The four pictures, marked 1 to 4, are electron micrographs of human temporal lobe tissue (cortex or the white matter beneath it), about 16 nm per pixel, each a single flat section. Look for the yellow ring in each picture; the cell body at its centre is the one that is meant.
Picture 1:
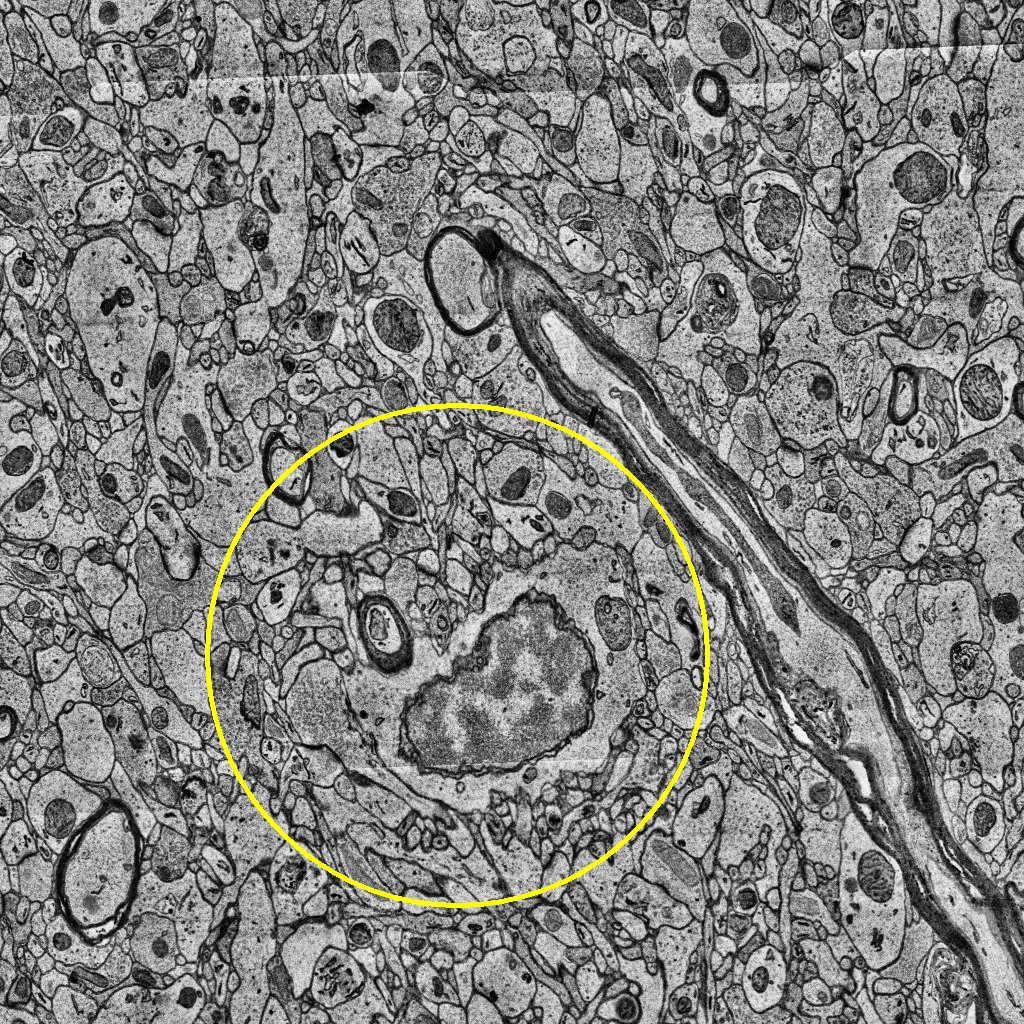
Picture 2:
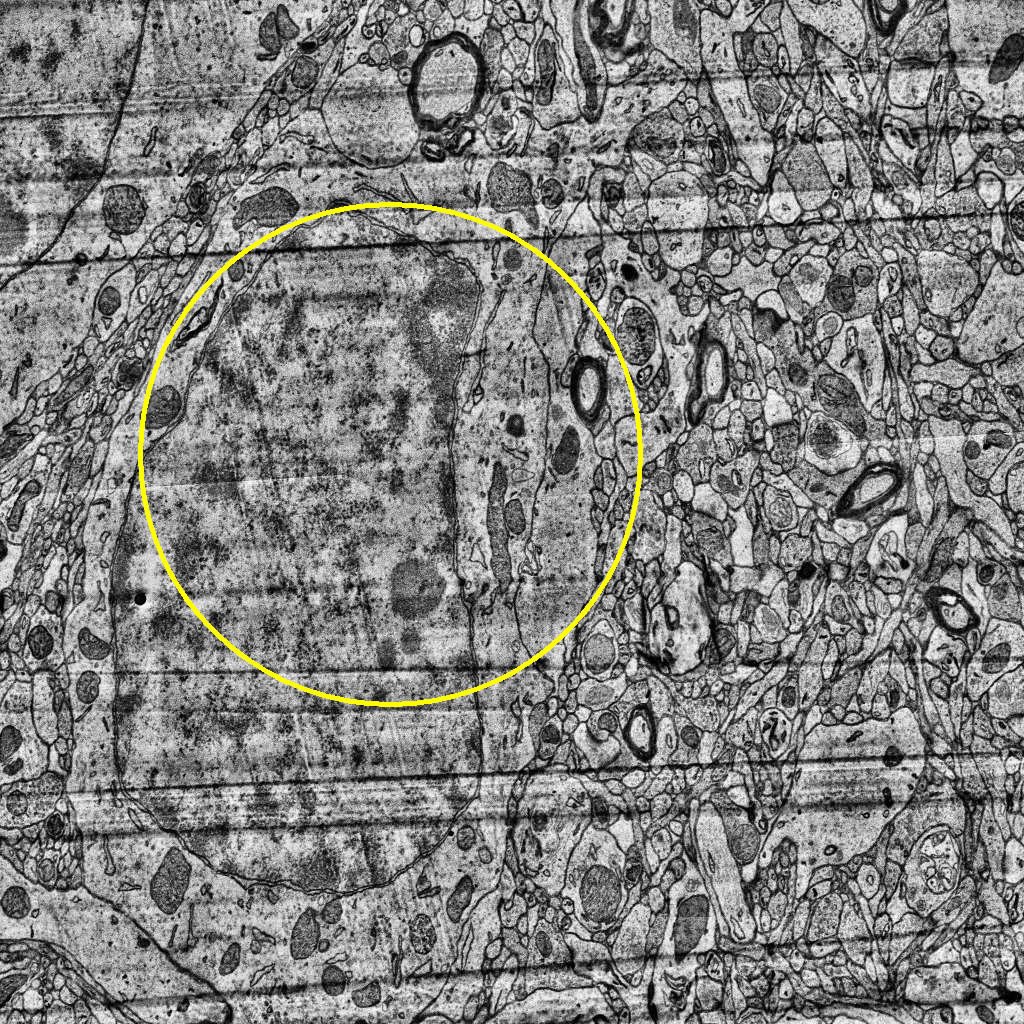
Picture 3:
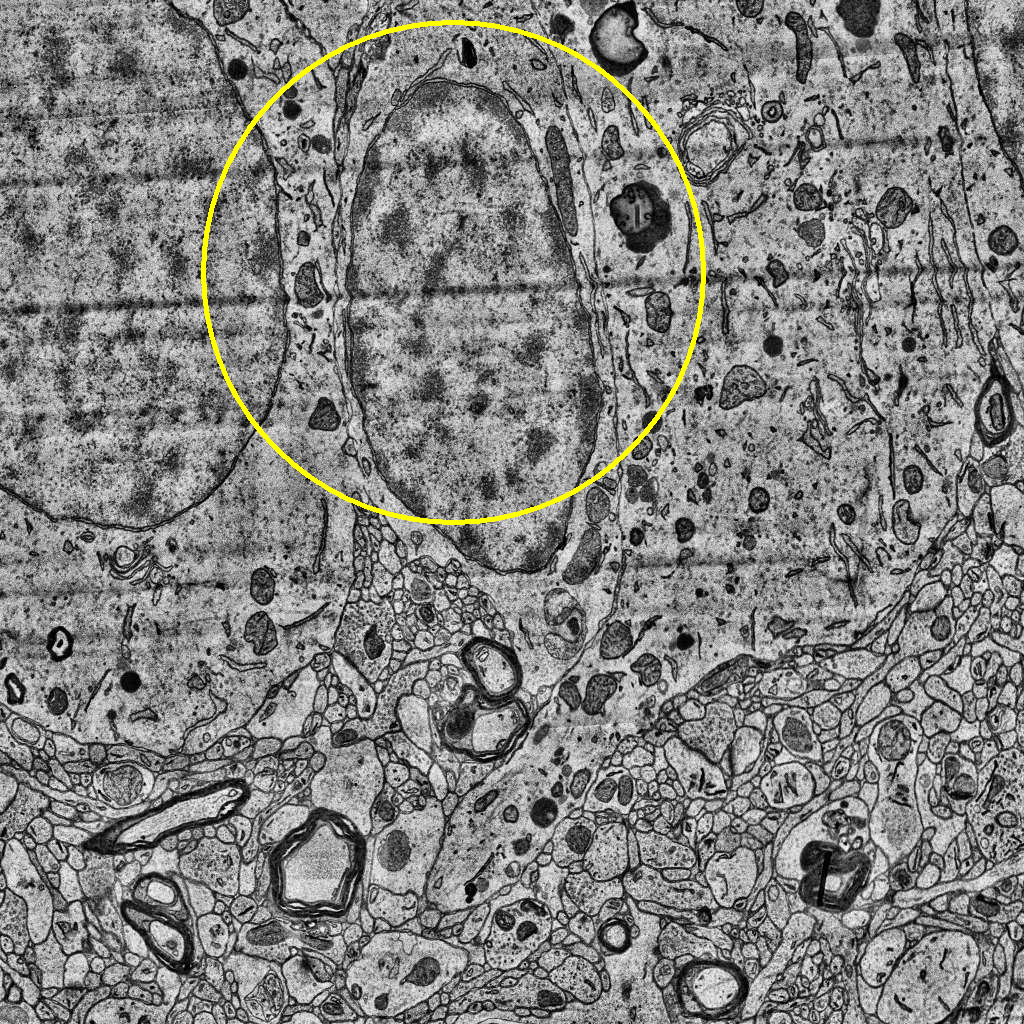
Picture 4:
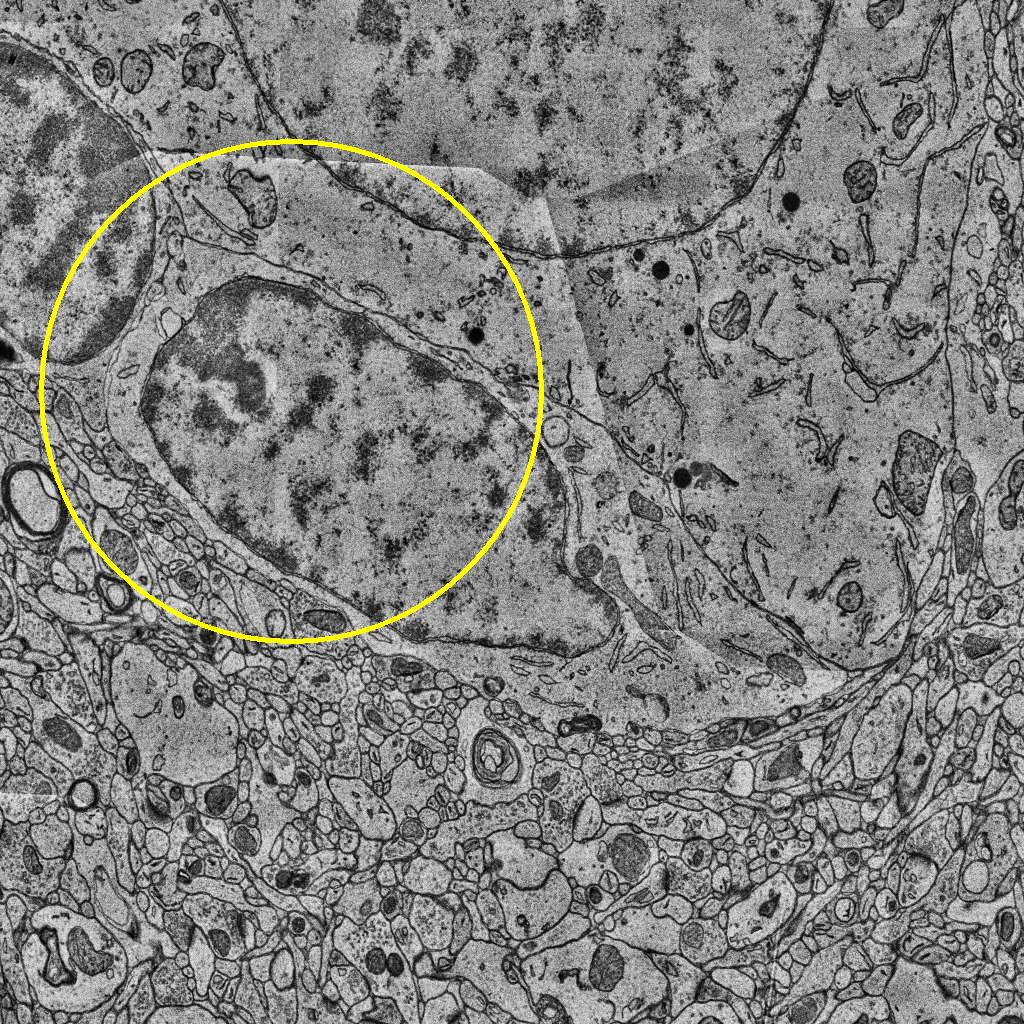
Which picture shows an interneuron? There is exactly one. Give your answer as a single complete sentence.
The interneuron is the one in picture 2.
